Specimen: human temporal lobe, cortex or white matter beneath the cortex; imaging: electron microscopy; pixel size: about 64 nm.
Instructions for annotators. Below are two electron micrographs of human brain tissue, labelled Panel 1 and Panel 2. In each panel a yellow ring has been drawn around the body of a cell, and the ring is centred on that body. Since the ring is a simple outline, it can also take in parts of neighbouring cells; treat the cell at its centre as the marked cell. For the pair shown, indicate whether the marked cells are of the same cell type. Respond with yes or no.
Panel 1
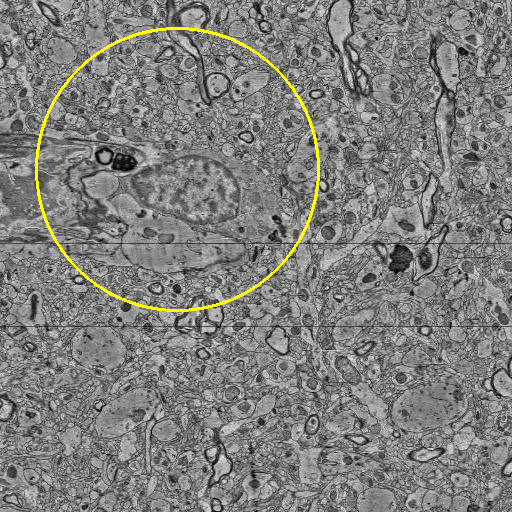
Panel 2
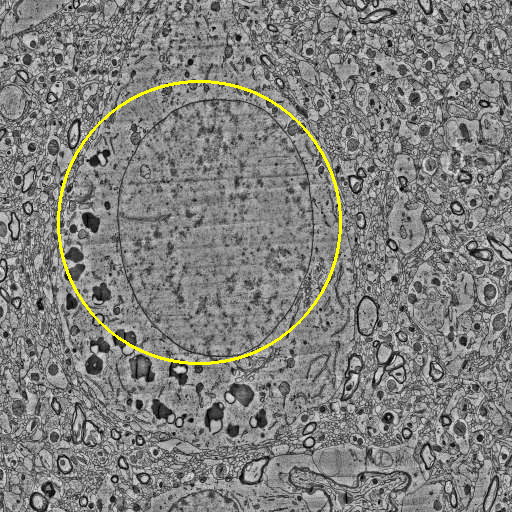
no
